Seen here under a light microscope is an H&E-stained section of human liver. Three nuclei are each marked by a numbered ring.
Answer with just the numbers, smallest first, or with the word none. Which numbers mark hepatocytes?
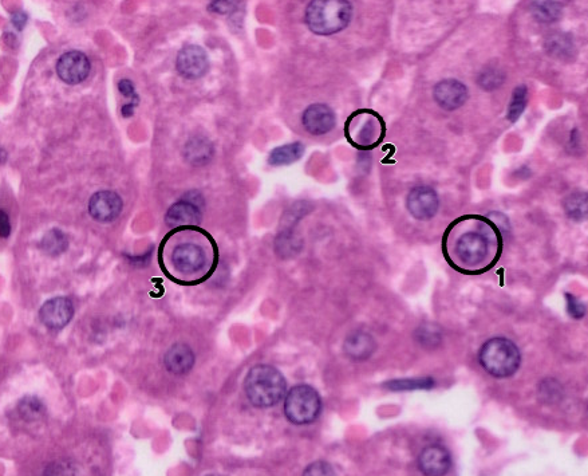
1, 3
